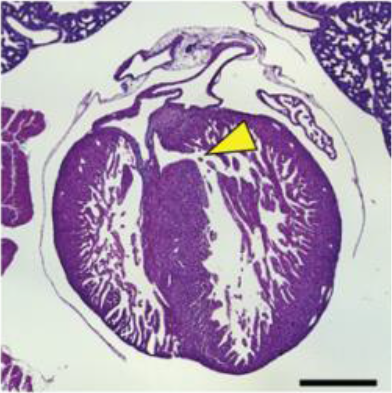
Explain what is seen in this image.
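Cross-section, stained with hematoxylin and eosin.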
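Two ventricles with thick muscular walls are separated by a broad septum; the inner wall surfaces are trabeculated, forming a fine network of muscle strands projecting into the lumens. At the top of the septum, beneath the outflow vessels, a yellow arrowhead points to a gap connecting the two ventricular cavities. Thin-walled vessels and atrial tissue lie above the ventricles, and lung tissue and other organs border the section at its edges.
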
